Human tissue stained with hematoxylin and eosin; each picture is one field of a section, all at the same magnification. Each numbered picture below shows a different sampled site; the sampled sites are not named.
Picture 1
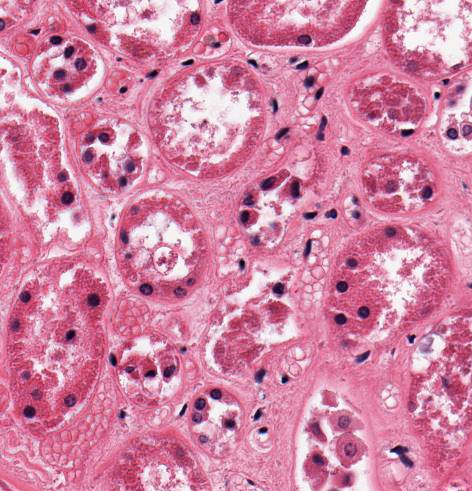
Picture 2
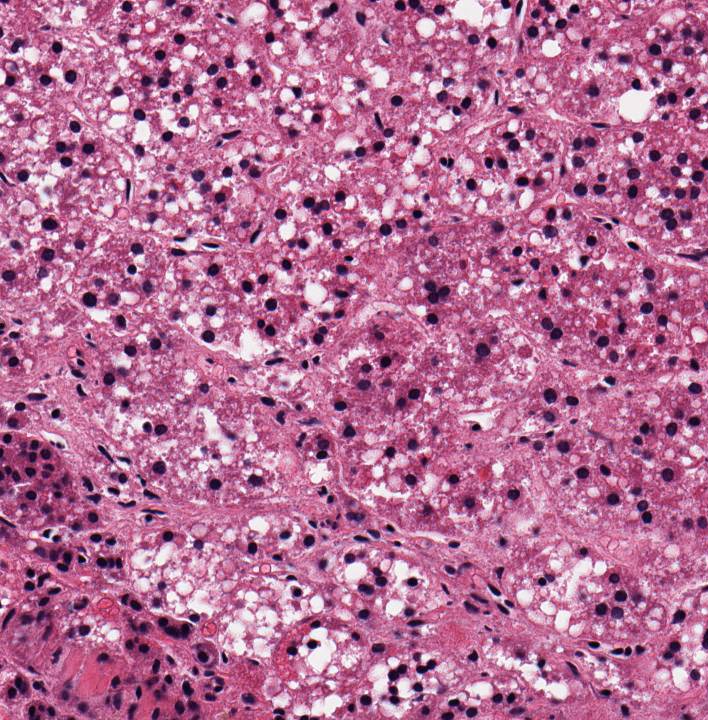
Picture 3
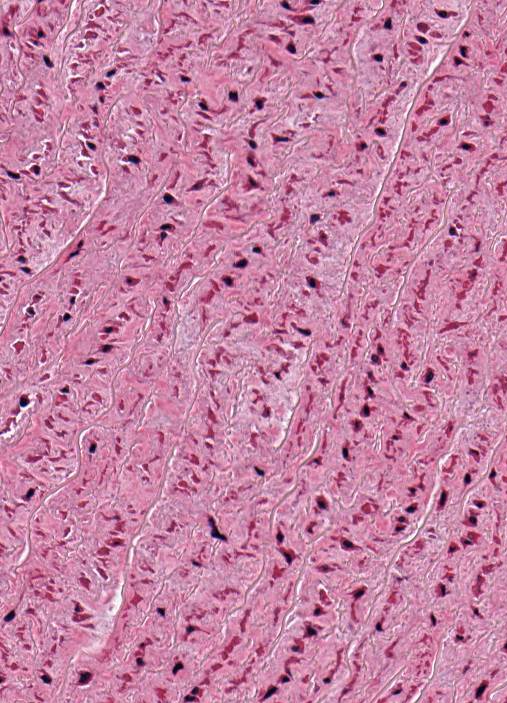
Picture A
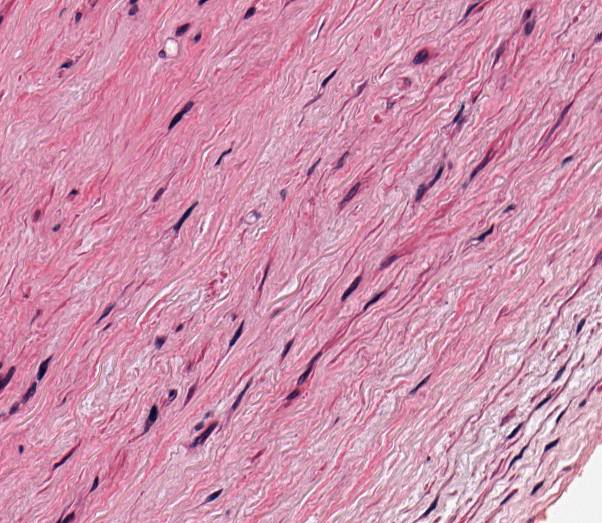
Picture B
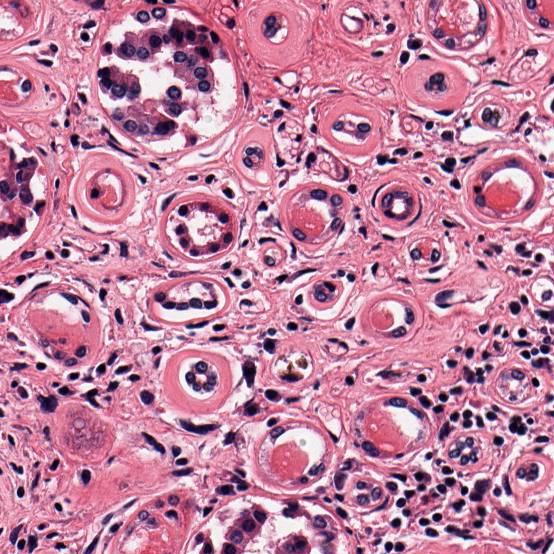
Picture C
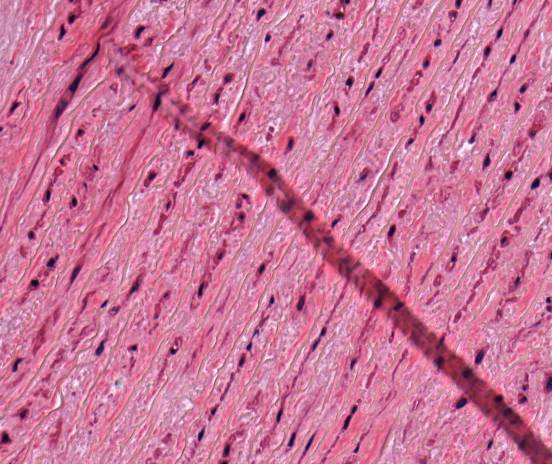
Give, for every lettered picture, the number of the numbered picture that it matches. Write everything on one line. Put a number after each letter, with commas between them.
A 3, B 1, C 3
